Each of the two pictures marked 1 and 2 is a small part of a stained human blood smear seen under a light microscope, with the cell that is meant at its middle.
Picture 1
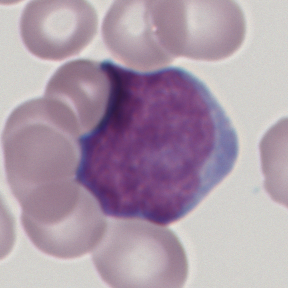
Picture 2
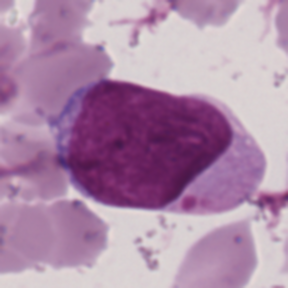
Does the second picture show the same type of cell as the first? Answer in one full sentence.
Yes, the two pictures both show myeloblasts.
